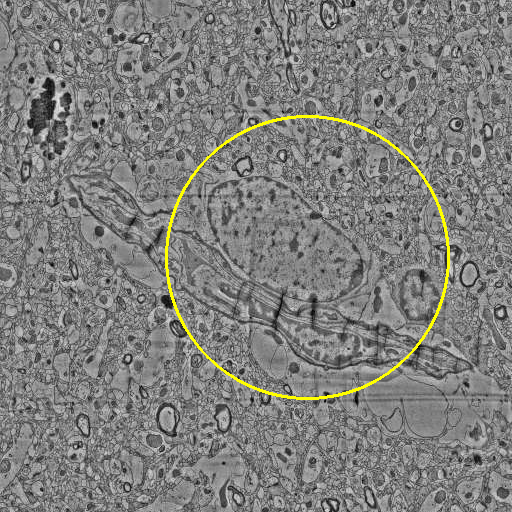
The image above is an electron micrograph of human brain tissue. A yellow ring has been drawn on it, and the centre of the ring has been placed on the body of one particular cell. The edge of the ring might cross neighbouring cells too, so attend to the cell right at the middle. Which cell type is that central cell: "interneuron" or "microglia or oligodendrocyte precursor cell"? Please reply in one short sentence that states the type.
The central cell in the ring is a microglial cell or oligodendrocyte precursor cell.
